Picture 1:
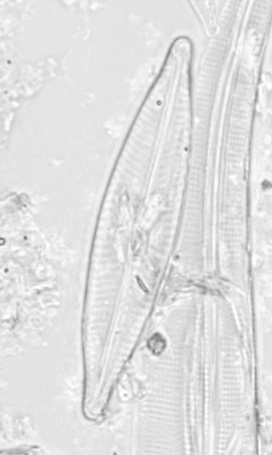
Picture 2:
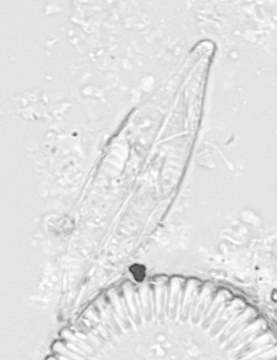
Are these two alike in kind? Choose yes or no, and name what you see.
Yes. Navicula.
